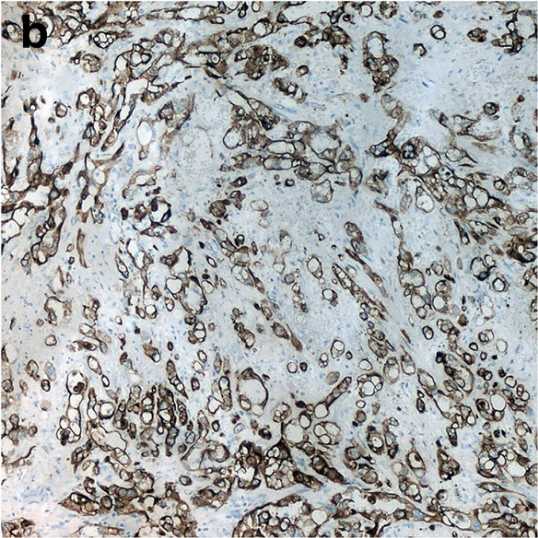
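Neoplastic cells, rounded and polygonal, with clear or pale cytoplasm, lying in clusters, cords and small nests within pale blue stroma. Brown staining outlines the cell borders, giving a ring-like, membranous pattern, while the stroma between the nests stays unstained.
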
